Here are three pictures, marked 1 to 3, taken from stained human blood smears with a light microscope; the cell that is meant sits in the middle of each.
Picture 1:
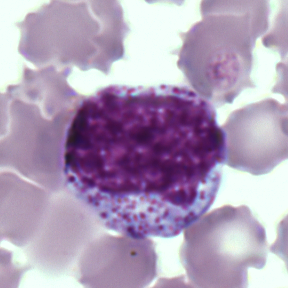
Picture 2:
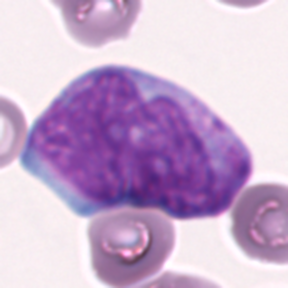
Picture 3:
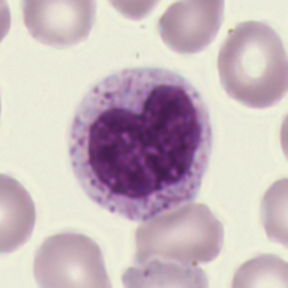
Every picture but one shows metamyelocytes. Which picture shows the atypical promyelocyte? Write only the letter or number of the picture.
2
